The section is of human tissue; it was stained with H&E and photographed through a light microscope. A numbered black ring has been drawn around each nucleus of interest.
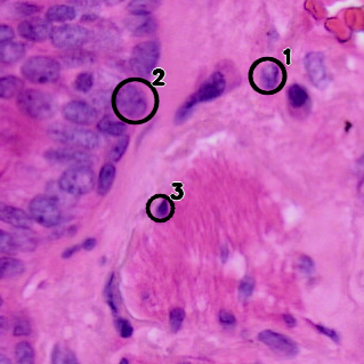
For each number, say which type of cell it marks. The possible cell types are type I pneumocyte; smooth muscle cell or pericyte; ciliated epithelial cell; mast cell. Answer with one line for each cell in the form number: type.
1: mast cell
2: ciliated epithelial cell
3: smooth muscle cell or pericyte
